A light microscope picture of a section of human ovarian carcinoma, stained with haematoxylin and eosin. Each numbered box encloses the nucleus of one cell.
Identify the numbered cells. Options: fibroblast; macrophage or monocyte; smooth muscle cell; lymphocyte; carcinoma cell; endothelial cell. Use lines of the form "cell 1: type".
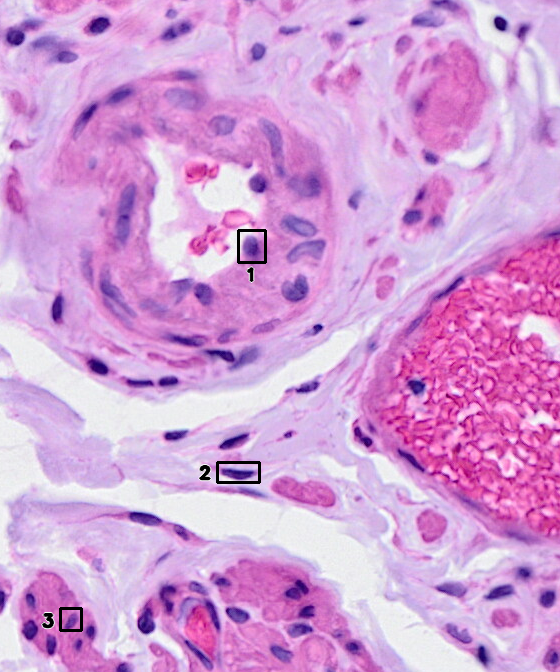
cell 1: endothelial cell
cell 2: fibroblast
cell 3: smooth muscle cell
